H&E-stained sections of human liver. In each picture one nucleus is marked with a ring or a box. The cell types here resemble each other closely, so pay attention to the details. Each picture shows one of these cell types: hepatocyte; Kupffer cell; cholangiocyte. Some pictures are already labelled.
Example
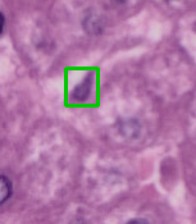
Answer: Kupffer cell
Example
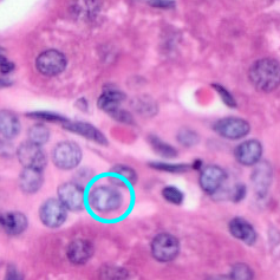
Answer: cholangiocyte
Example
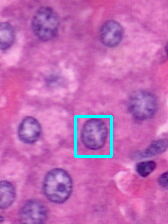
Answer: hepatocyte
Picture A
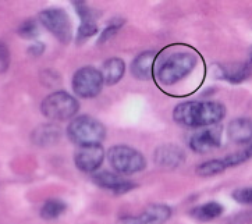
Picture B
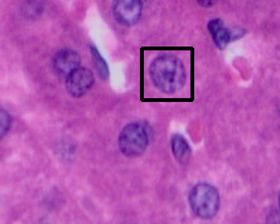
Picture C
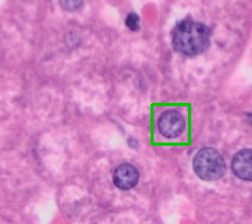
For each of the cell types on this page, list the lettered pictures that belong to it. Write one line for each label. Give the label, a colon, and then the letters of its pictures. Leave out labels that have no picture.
hepatocyte: B, C
cholangiocyte: A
